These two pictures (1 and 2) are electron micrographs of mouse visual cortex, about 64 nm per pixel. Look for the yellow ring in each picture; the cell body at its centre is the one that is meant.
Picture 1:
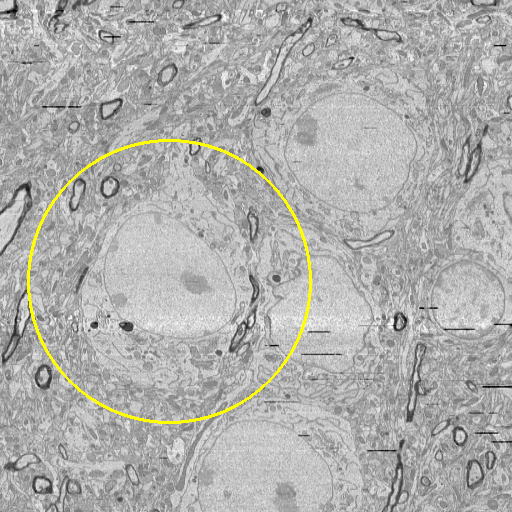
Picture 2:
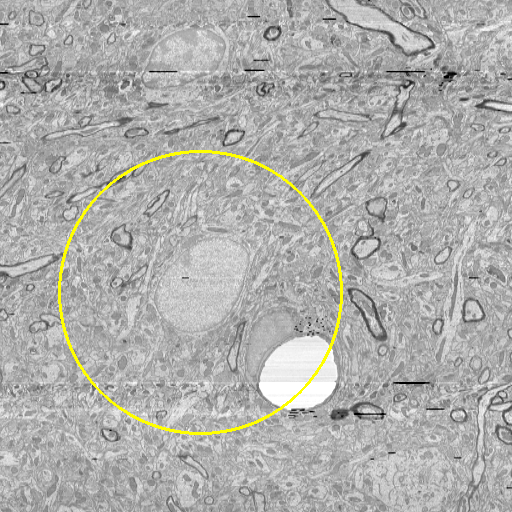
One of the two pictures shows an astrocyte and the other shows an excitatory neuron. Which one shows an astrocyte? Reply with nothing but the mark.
2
